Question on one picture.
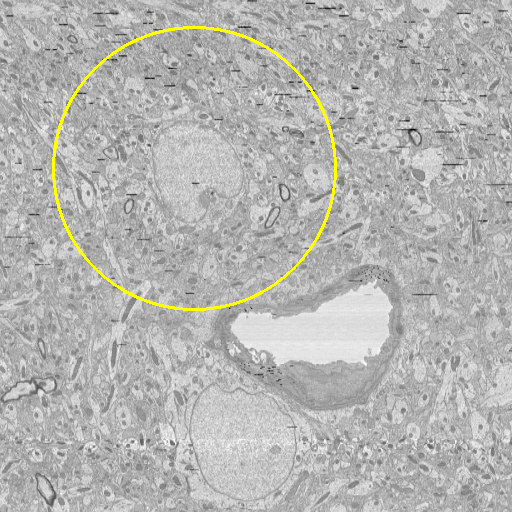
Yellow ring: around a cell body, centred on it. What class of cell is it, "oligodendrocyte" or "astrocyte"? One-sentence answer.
This is an astrocyte, the cell the ring is centred on.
